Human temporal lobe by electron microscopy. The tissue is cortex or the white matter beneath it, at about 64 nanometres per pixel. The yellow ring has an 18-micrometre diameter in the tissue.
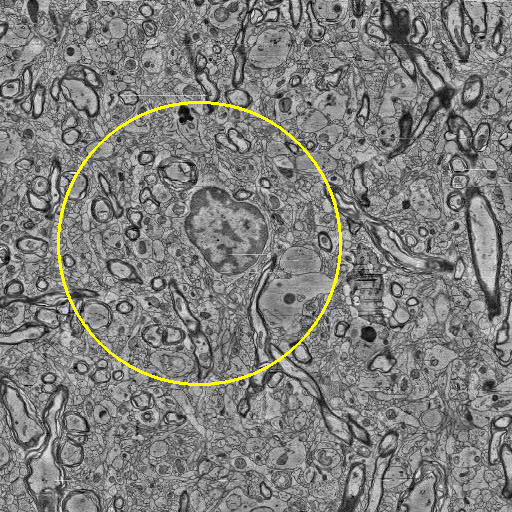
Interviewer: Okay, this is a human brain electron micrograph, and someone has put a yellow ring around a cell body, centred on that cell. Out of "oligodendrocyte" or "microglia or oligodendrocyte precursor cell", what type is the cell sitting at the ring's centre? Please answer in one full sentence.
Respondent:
The cell at the centre of the yellow ring in this picture is a microglial cell or oligodendrocyte precursor cell.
